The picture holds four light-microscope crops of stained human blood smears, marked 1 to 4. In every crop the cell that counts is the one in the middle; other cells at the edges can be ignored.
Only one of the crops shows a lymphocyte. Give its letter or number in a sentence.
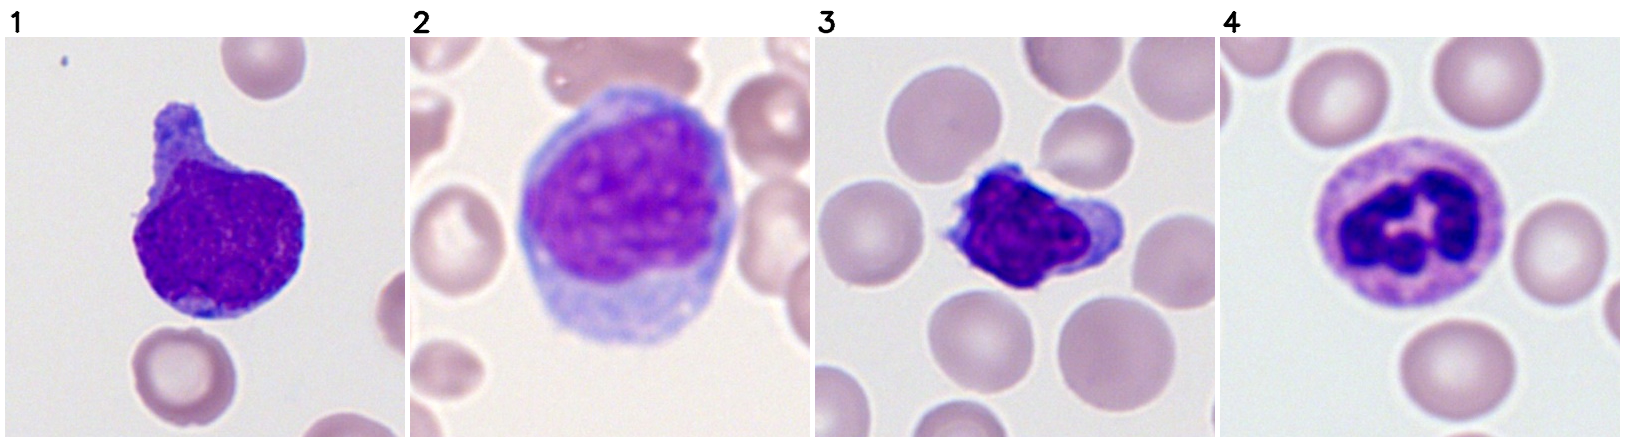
Here the crop that shows a lymphocyte is crop 3.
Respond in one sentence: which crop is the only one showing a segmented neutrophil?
The crop that has a segmented neutrophil in the middle is crop 4.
